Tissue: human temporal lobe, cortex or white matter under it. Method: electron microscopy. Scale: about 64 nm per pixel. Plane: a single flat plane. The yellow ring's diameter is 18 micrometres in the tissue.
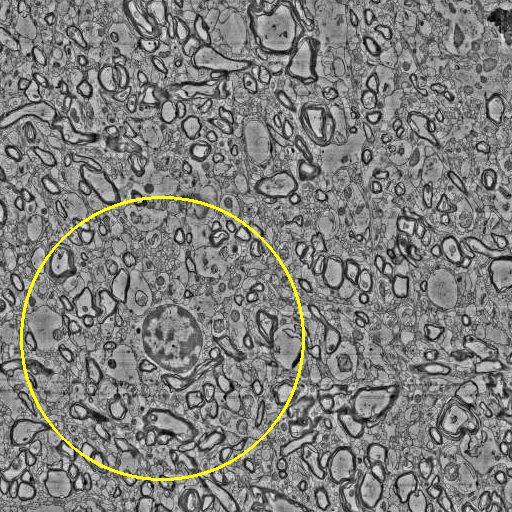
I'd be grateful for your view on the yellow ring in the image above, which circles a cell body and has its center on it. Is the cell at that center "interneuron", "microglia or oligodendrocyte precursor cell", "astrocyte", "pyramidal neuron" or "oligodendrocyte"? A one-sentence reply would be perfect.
The cell at the center of the yellow ring is a microglial cell or oligodendrocyte precursor cell.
